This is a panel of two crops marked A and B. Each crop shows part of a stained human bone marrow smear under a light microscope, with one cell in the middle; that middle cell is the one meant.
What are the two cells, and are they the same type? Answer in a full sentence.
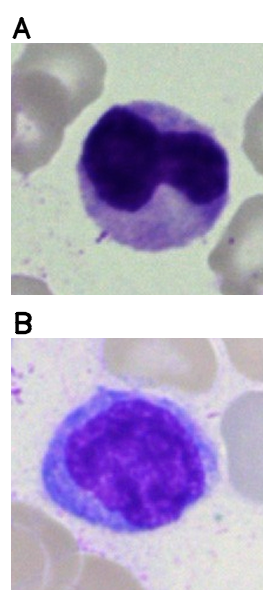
No, cell A is a band neutrophil, and cell B is a monocyte.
